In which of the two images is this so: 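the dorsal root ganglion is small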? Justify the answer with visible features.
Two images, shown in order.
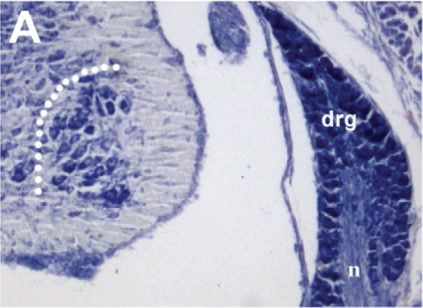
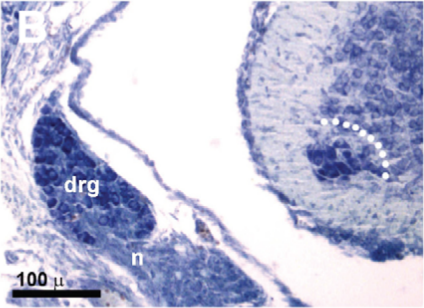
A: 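First image: the ganglion is a long, tall band of densely packed dark cells reaching across most of the panel height. Second image: the ganglion is a shorter, smaller oval mass of dark cells.
The second image.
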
